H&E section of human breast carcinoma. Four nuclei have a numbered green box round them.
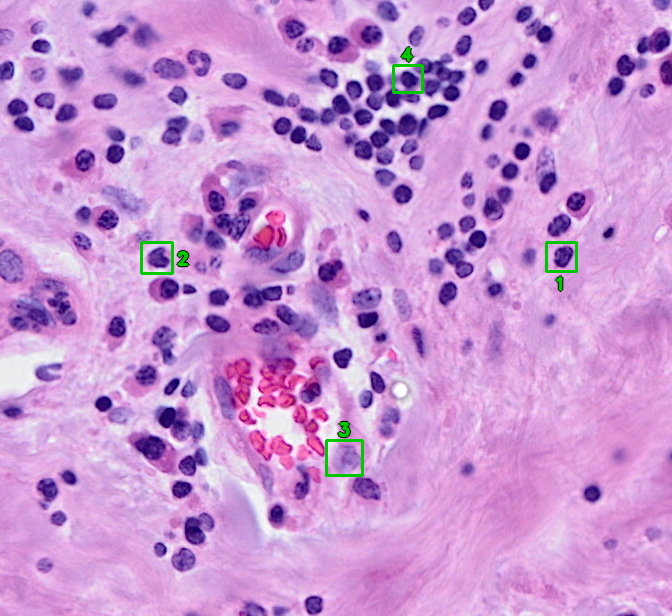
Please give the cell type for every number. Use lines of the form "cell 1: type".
cell 1: lymphocyte
cell 2: lymphocyte
cell 3: endothelial cell
cell 4: lymphocyte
